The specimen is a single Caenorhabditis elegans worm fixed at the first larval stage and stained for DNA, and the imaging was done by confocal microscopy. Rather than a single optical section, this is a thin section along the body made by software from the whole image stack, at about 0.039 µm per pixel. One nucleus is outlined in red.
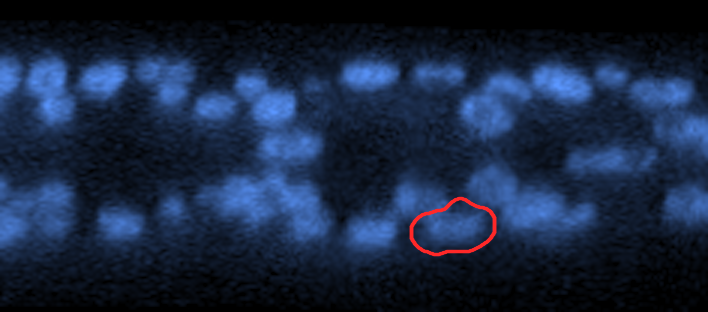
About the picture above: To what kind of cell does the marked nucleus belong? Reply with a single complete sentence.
The marked nucleus is that of a hypodermal cell (hyp).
